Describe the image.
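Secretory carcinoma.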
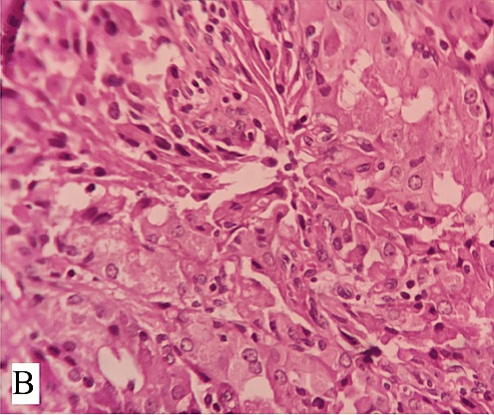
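This is a high-power view of a tumor made of sheets of neoplastic cells. Their nuclei are round to oval, vary only mildly in size and shape, and have fine chromatin; a few show a small nucleolus. Each cell has a generous amount of pale pink cytoplasm that looks granular in places and contains clear vacuoles. Empty rounded and irregular spaces open between the cells, giving the sheets a bubbly look. Toward the middle some cells are drawn out into elongated shapes with darker, slimmer nuclei.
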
